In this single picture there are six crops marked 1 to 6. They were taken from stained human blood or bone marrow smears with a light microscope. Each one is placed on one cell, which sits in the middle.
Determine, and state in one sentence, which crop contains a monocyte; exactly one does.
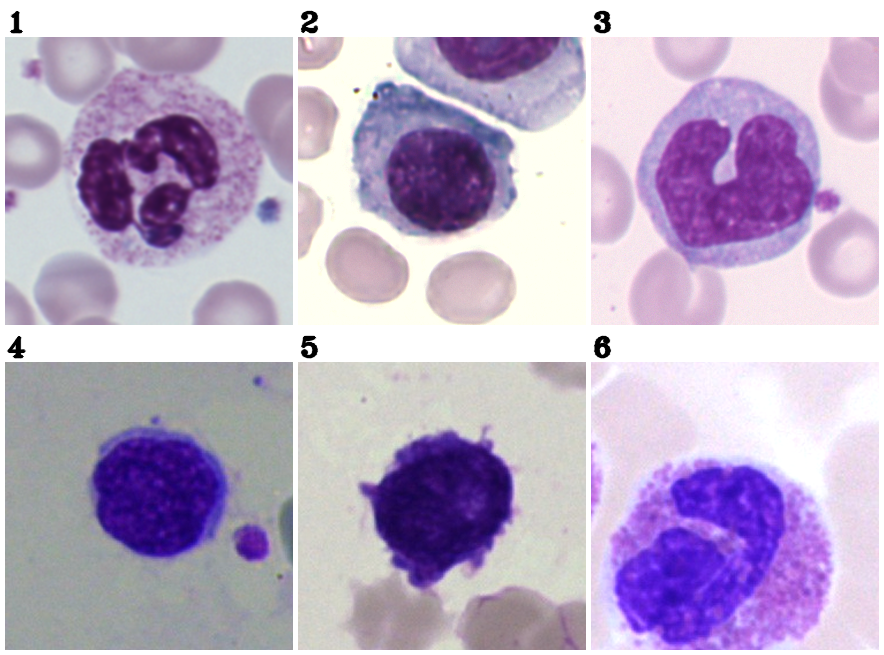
In this set, crop 3 is the one showing a monocyte.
